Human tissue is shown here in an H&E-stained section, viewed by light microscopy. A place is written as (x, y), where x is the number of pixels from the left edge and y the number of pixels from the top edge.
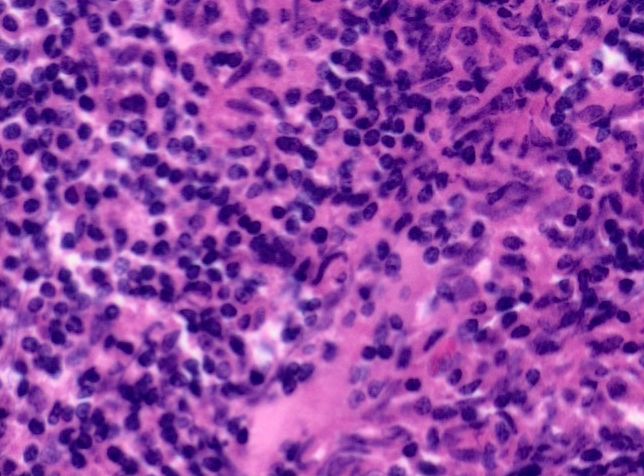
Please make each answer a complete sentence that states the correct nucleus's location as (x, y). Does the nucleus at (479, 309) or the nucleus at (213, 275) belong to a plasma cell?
The nucleus at (479, 309) is contained in a plasma cell.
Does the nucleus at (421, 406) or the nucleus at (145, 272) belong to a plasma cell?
The nucleus at position (421, 406) belongs to a plasma cell.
